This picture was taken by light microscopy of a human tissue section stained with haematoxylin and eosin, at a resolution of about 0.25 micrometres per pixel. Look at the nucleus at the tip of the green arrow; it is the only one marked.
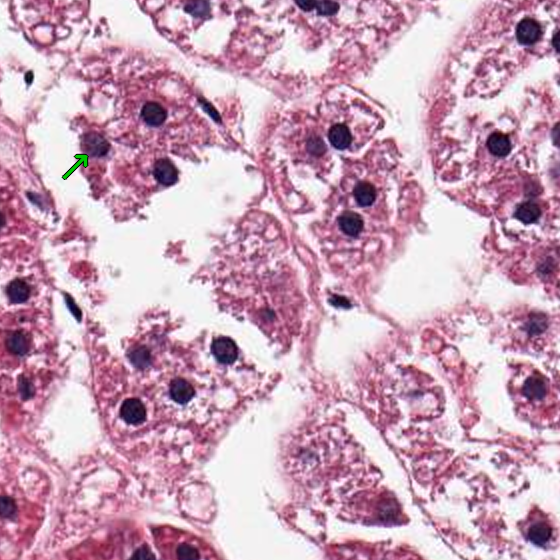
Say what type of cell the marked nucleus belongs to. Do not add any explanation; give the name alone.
adrenal cortical cell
